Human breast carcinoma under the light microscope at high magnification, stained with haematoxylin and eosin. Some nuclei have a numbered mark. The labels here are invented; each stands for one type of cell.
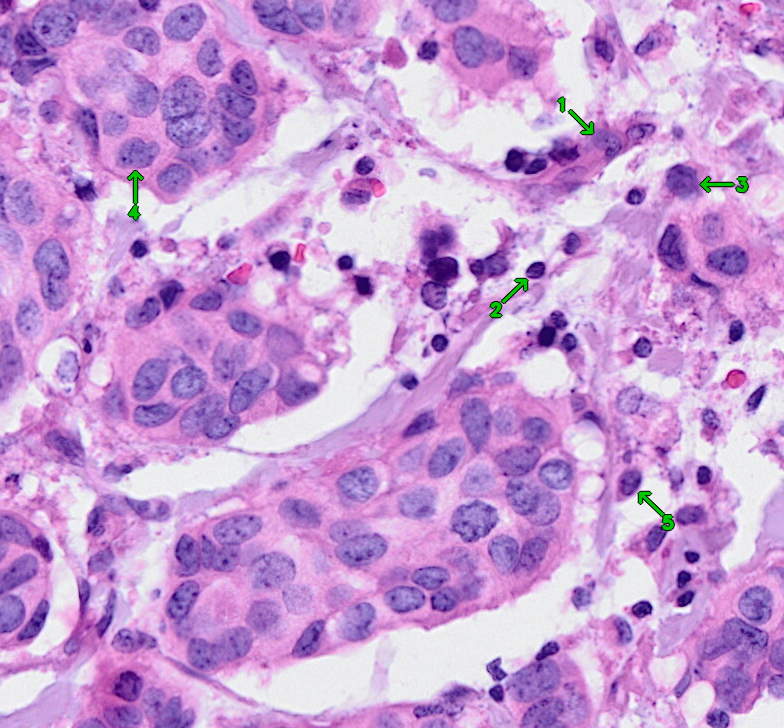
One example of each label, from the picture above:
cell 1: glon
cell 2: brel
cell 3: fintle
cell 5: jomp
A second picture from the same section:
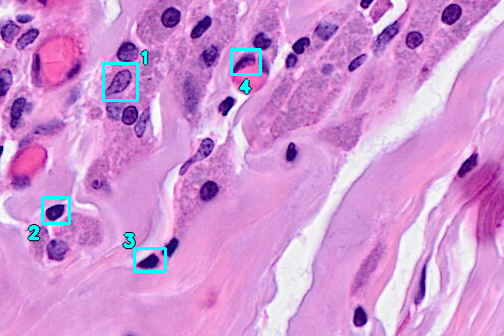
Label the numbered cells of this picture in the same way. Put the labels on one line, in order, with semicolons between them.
jomp; brel; brel; glon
